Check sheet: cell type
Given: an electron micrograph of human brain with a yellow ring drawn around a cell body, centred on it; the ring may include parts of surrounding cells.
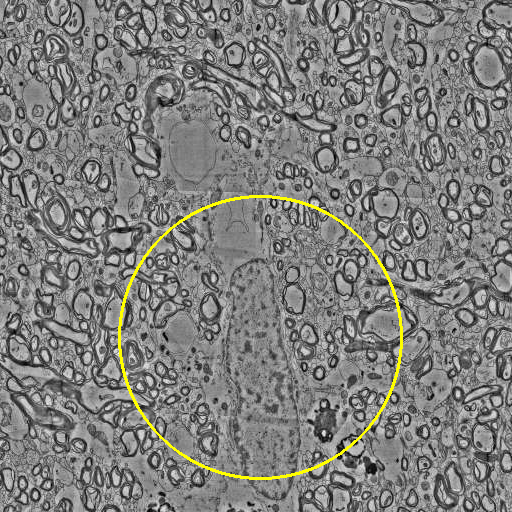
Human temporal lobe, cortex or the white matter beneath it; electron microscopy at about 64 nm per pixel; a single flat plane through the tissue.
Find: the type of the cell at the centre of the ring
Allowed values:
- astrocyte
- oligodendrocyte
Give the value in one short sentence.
Here the ringed cell is an astrocyte.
